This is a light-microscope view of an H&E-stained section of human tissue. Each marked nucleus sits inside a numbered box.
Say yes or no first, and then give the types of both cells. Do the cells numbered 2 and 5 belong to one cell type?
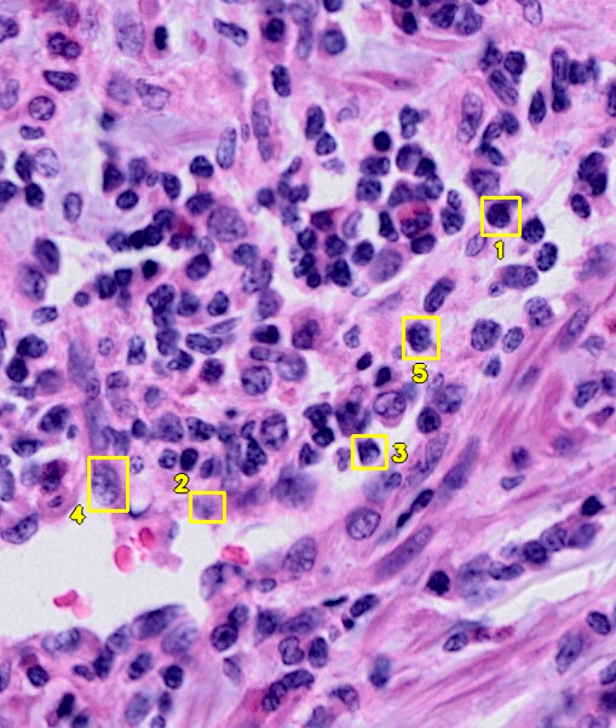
No, cell 2 is to be identified as an endothelial cell and cell 5 as a lymphocyte.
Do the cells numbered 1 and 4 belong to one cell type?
No, cell 1 is a lymphocyte, and as for cell 4, it is an endothelial cell.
